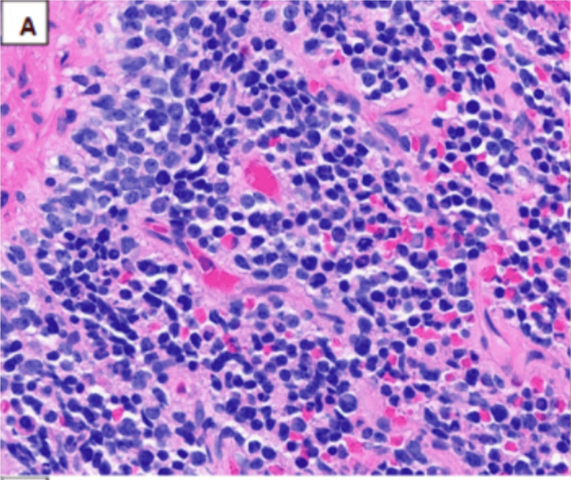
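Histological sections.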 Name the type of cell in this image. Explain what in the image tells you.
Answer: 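Densely packed small cells with round, dark blue nuclei. Cells form sheets and cords between pink fibrous strands. On this evidence: small round blue cells.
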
